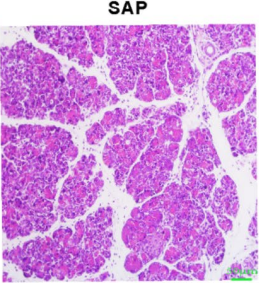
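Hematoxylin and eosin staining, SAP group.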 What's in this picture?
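Pancreatic lobules here are broken into separated islands, with wide pale spaces running between them. Within the lobules the acinar cells stain paler and more patchily pink and purple, and their regular clustered arrangement is blurred. Scattered small dark nuclei lie in the widened septa. These wide interlobular gaps and disrupted acini fit tissue edema with injury of the acinar cells.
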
